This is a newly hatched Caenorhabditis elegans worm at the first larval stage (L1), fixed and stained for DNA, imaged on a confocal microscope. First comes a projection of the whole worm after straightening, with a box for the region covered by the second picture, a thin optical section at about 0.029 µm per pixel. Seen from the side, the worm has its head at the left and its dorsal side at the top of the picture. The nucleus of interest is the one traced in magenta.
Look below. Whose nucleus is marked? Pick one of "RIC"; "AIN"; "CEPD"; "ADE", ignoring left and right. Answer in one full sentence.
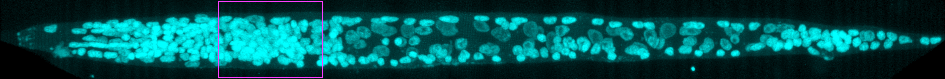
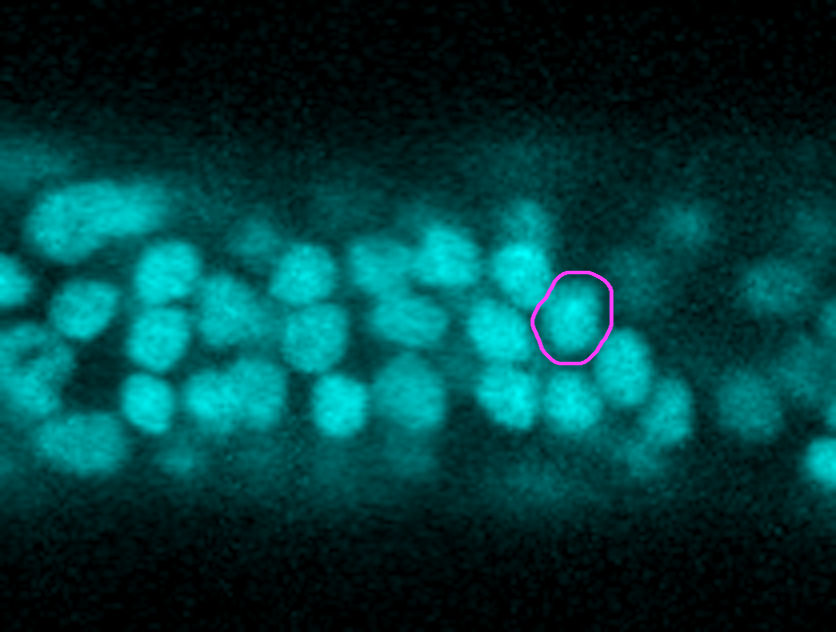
It is the nucleus of AIN, a neuron.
